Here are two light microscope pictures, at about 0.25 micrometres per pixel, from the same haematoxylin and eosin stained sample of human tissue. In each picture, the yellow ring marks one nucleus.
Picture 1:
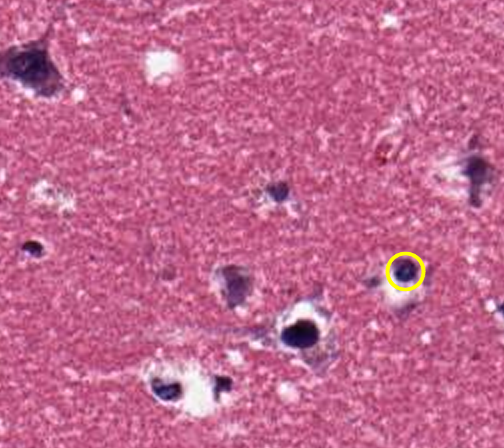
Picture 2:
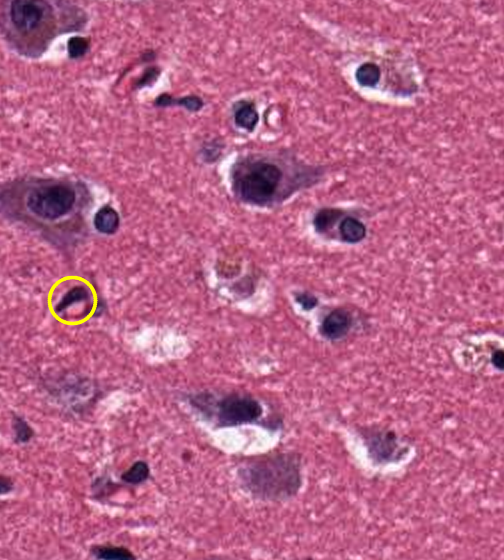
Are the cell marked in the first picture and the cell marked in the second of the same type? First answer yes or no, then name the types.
No, the first is an oligodendrocyte and the second an endothelial cell.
